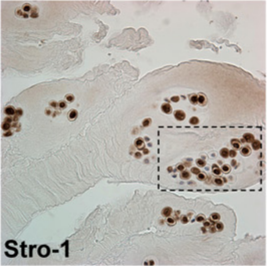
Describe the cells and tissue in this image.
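Fragments of pale cartilage matrix contain many rounded cells lying close together in groups, most of them strongly stained dark brown, with a few paler cells among them. The crowded cells form clusters within the fibrillated, split cartilage of an osteoarthritic joint.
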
